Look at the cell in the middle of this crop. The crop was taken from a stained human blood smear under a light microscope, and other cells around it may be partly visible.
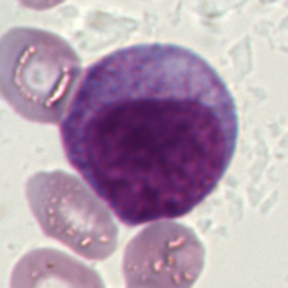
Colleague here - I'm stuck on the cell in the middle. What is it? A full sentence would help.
The cell at the centre of the field is a promyelocyte.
